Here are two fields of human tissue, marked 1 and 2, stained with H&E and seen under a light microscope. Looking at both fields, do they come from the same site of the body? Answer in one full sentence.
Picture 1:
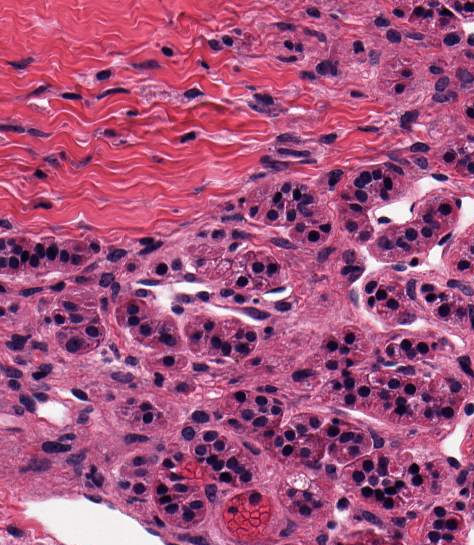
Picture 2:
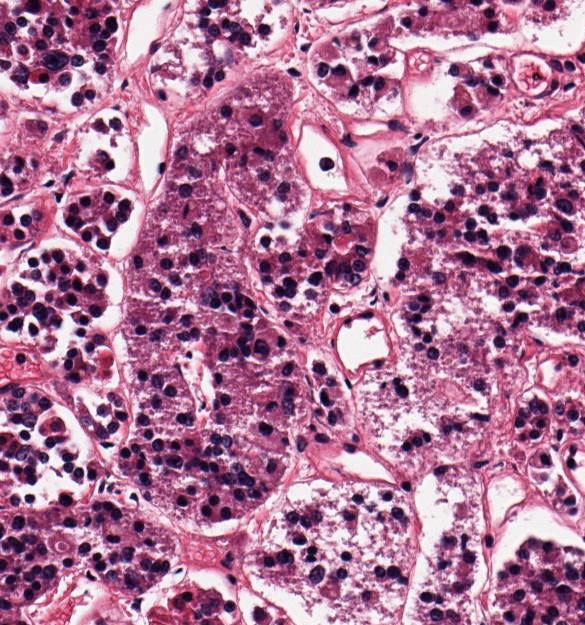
No, they differ: picture 1 comes from the adrenal gland, and picture 2 comes from the pituitary.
